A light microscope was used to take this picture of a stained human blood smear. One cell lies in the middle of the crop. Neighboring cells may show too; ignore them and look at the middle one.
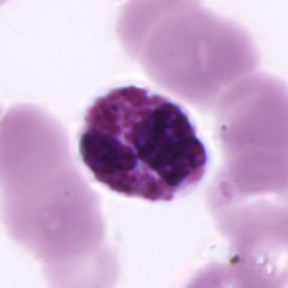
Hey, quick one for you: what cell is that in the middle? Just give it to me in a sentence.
This crop's central cell is an eosinophil.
